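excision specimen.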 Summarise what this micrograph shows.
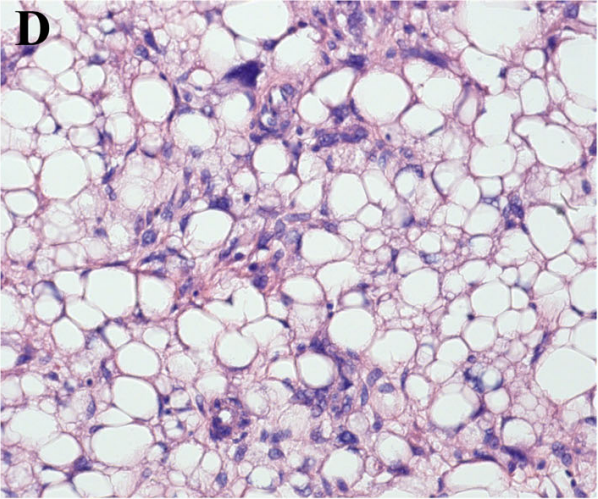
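This is the well-differentiated fatty part of the tumour, made of many clear, empty-looking vacuoles of unequal size resembling fat cells. Between them run thin pink strands holding scattered, irregular, dark and enlarged nuclei, some of them clearly larger than those of ordinary fat.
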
